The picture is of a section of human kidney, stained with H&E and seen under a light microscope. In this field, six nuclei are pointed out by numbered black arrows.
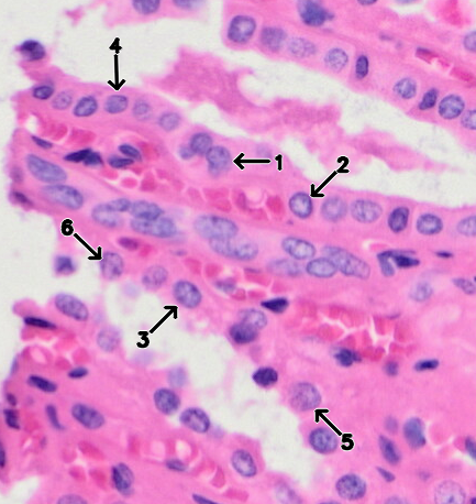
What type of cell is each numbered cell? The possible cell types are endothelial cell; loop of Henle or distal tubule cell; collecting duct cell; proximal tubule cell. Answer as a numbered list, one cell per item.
1. collecting duct cell
2. collecting duct cell
3. loop of Henle or distal tubule cell
4. collecting duct cell
5. loop of Henle or distal tubule cell
6. loop of Henle or distal tubule cell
